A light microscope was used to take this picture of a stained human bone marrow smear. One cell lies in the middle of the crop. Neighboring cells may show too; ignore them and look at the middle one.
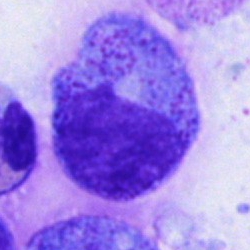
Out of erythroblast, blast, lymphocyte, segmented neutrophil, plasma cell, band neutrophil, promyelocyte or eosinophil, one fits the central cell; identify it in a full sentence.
This crop is built around a promyelocyte at its centre.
